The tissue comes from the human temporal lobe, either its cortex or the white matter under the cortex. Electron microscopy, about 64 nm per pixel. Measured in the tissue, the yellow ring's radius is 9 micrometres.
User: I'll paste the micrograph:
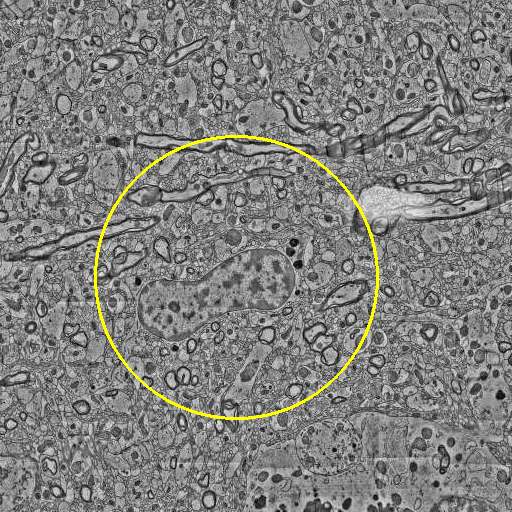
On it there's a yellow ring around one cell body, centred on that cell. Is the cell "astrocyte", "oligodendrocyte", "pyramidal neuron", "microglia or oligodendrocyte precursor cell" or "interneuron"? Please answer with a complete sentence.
The cell ringed in yellow is a microglial cell or oligodendrocyte precursor cell.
